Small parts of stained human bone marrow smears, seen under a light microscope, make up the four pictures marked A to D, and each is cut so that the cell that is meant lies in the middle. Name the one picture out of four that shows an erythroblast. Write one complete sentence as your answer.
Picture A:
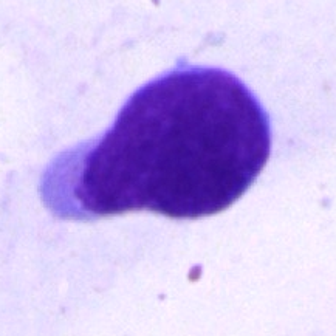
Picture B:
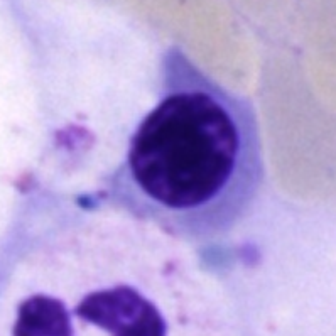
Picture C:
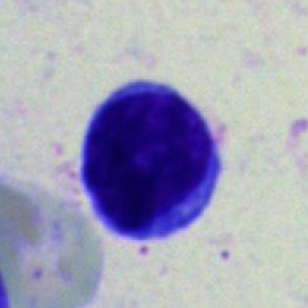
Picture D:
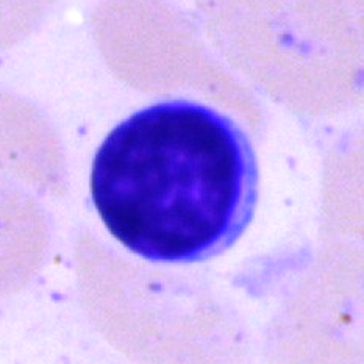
It is picture B that shows the erythroblast.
